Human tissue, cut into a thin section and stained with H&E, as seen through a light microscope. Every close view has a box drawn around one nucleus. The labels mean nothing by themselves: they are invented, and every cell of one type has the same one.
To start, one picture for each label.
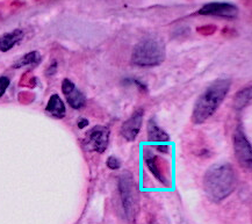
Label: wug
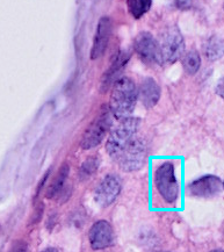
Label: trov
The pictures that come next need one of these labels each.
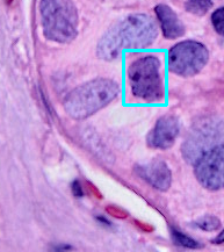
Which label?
trov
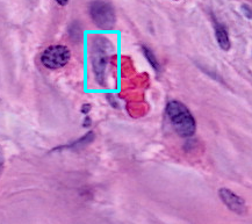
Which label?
wug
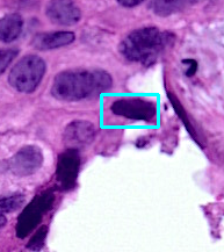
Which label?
trov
